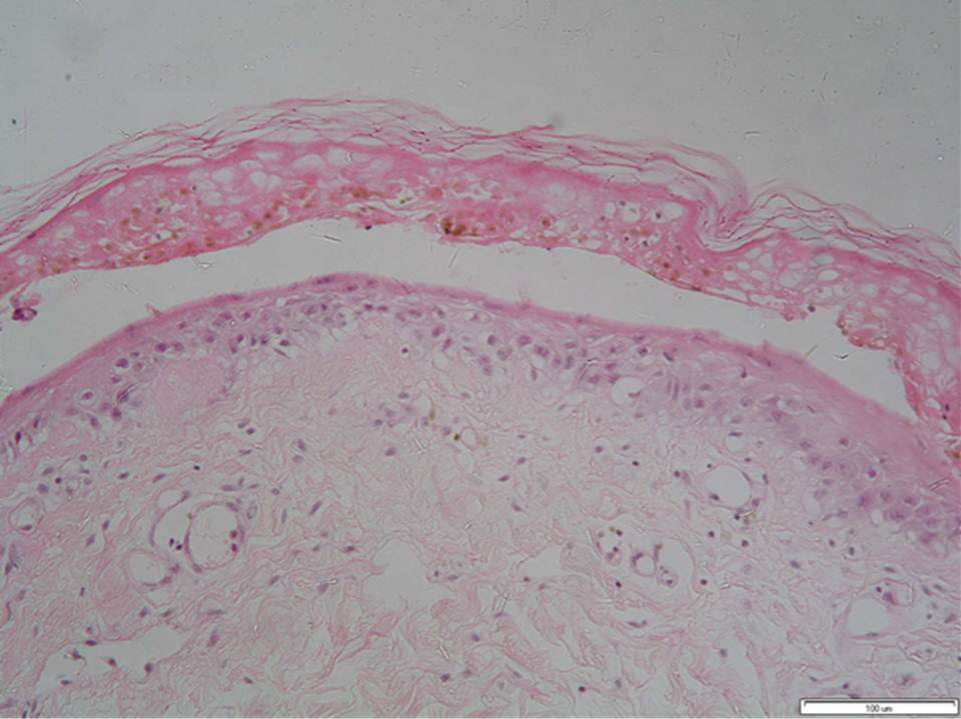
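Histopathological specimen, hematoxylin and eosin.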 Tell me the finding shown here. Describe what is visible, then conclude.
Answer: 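The upper epithelial strip is lifted off as a continuous band. The detached band stains pink with pale, ballooned cells and few distinct nuclei. A clear cleft separates the band from the underlying tissue.
Hence: full thickness keratinocyte necrosis.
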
